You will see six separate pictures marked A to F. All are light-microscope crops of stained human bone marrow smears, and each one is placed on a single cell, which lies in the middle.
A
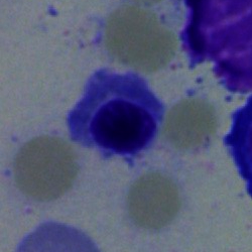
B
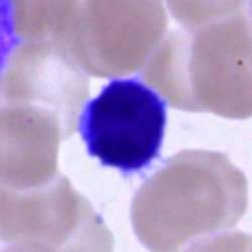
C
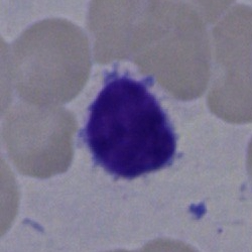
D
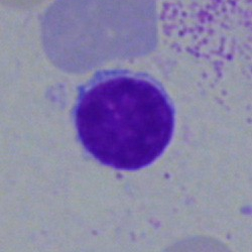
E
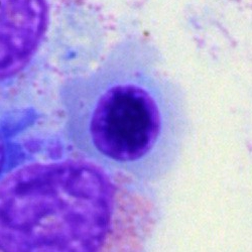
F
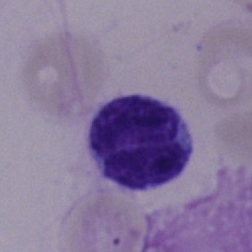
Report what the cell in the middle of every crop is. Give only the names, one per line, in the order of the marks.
erythroblast
lymphocyte
lymphocyte
lymphocyte
erythroblast
lymphocyte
